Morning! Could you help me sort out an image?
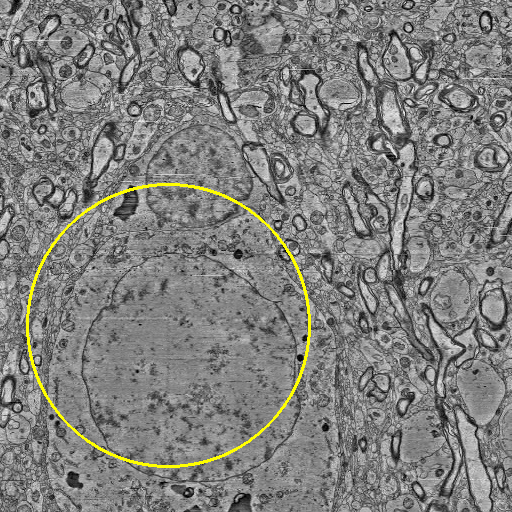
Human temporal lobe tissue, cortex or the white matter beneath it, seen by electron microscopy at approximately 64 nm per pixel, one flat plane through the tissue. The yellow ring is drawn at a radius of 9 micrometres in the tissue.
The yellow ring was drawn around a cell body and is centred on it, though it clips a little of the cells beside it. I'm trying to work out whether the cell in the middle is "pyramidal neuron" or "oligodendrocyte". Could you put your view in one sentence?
The ringed cell body is that of a pyramidal neuron.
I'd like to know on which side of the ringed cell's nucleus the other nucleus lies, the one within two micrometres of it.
The second nucleus is above it.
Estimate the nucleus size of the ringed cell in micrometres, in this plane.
About 16 by 14 micrometers, in this plane.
